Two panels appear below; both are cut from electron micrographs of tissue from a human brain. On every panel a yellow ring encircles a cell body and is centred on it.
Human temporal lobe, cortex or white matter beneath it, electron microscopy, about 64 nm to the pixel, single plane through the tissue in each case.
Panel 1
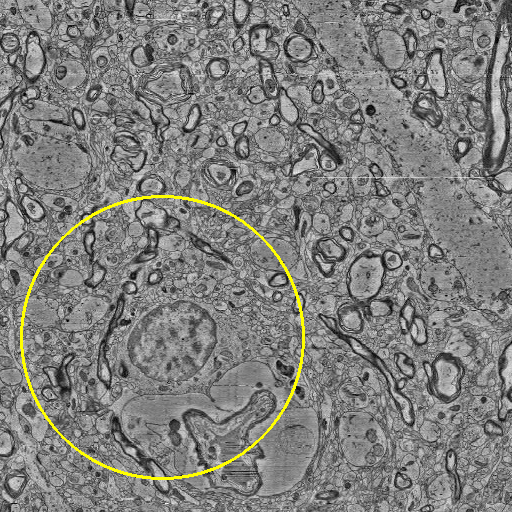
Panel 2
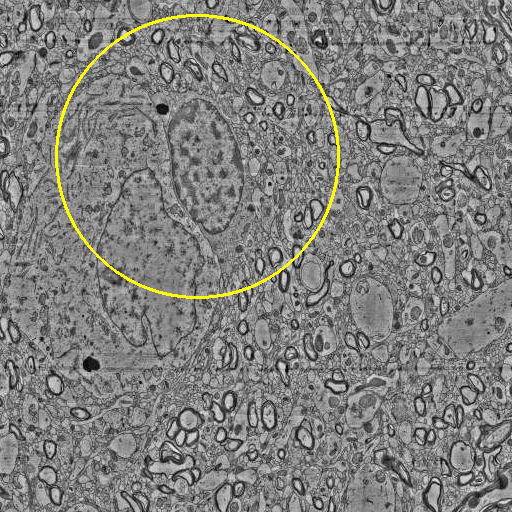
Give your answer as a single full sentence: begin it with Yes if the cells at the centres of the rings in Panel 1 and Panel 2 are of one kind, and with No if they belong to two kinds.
Yes, the cells in the middle of the rings in Panels 1 and 2 are of one kind.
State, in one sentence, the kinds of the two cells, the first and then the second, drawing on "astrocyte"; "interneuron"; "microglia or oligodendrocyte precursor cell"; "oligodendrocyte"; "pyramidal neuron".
Both the first and the second picture show an oligodendrocyte in the ring.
